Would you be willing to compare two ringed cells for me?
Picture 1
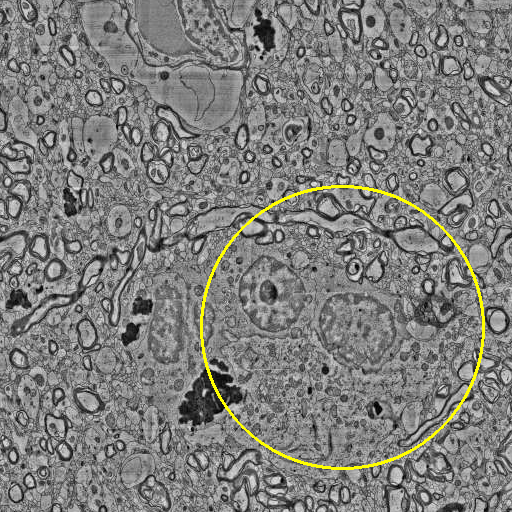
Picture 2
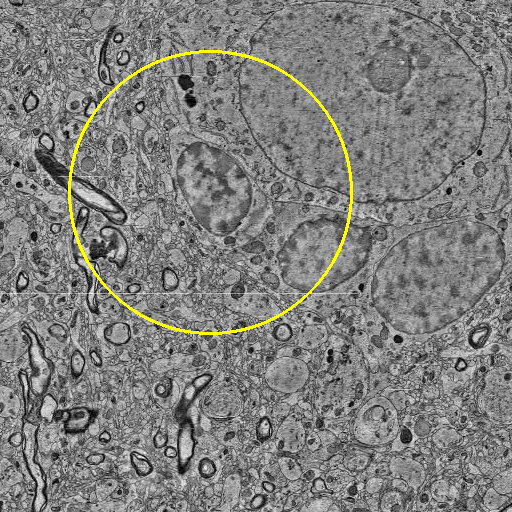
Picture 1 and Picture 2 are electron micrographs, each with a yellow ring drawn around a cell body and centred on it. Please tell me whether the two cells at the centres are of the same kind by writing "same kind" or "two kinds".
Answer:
two kinds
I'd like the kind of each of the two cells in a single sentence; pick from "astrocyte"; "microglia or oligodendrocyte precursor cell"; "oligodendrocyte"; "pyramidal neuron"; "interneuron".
The first ring marks an oligodendrocyte, and the second ring marks a microglial cell or oligodendrocyte precursor cell.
